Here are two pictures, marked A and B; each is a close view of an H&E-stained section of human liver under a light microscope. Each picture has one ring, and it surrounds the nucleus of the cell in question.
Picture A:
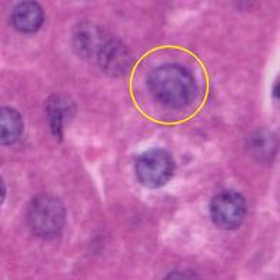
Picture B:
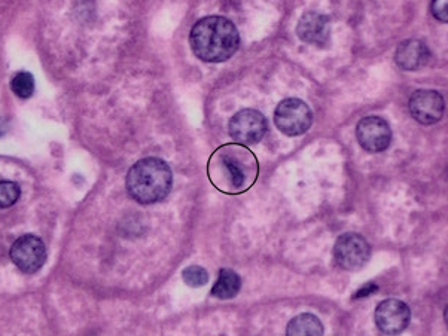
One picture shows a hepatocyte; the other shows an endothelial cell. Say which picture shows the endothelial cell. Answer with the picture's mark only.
B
